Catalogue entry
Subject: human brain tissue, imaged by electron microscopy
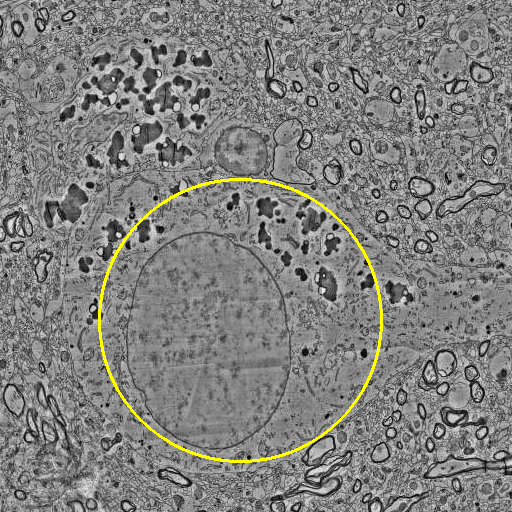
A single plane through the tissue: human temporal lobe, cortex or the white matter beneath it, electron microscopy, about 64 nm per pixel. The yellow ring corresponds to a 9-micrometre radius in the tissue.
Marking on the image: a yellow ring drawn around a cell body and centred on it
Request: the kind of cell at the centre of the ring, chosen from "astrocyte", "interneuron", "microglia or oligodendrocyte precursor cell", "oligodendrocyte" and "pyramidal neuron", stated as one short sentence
The ring has a pyramidal neuron at its centre.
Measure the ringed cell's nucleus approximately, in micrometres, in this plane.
Roughly 14 by 11 micrometres in this plane, for the nucleus of the ringed cell.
